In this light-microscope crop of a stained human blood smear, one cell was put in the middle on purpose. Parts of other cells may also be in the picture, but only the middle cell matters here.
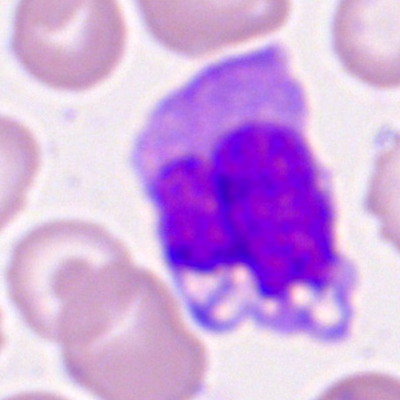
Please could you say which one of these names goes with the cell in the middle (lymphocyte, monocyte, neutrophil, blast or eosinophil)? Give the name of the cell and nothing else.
monocyte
